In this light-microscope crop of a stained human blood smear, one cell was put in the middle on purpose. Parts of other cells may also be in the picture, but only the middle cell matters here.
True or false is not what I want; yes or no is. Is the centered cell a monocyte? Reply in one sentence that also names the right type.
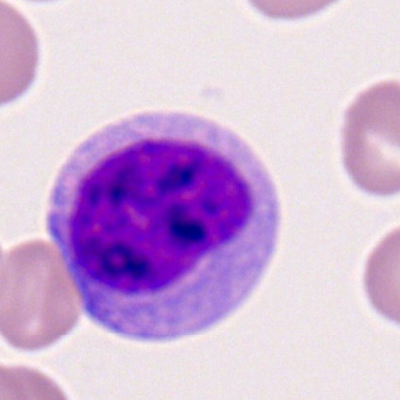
Yes, the cell at the middle is a monocyte.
